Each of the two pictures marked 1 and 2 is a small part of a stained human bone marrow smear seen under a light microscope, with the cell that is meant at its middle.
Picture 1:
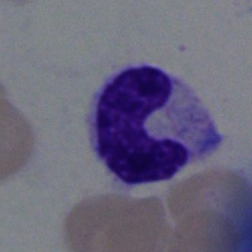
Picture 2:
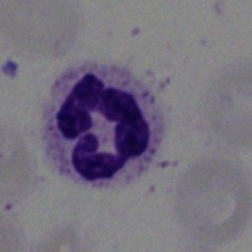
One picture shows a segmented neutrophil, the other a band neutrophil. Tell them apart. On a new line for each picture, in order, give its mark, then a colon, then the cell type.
1: band neutrophil
2: segmented neutrophil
